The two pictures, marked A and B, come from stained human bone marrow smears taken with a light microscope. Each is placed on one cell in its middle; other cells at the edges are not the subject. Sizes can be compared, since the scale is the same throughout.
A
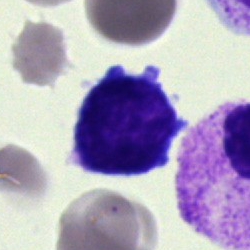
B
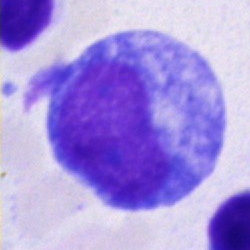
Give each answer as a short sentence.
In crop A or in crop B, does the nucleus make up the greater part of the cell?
The nucleus fills more of the cell in crop A than in crop B.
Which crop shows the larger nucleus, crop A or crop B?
Larger is the nucleus in crop B, at roughly 1.5 times the area of the other.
